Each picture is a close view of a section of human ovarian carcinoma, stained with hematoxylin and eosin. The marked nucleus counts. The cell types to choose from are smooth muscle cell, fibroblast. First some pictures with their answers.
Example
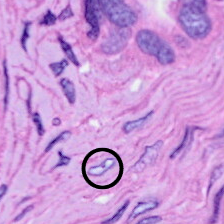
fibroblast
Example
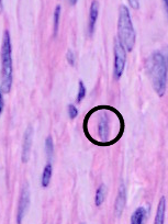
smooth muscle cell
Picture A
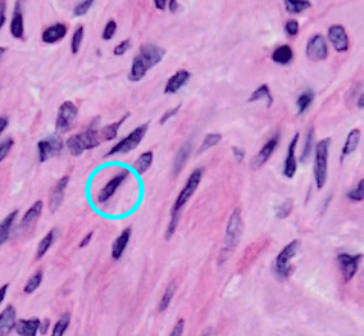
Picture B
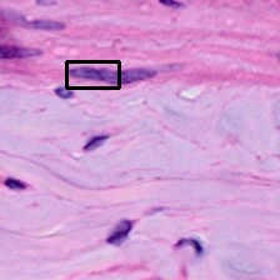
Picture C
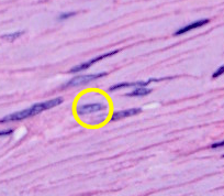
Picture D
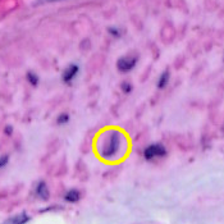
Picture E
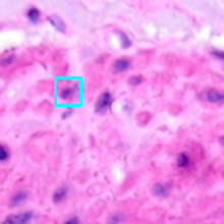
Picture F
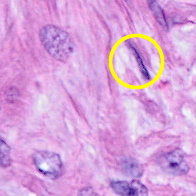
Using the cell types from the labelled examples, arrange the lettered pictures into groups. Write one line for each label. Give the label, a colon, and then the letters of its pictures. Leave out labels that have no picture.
smooth muscle cell: A, B, D, E
fibroblast: C, F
